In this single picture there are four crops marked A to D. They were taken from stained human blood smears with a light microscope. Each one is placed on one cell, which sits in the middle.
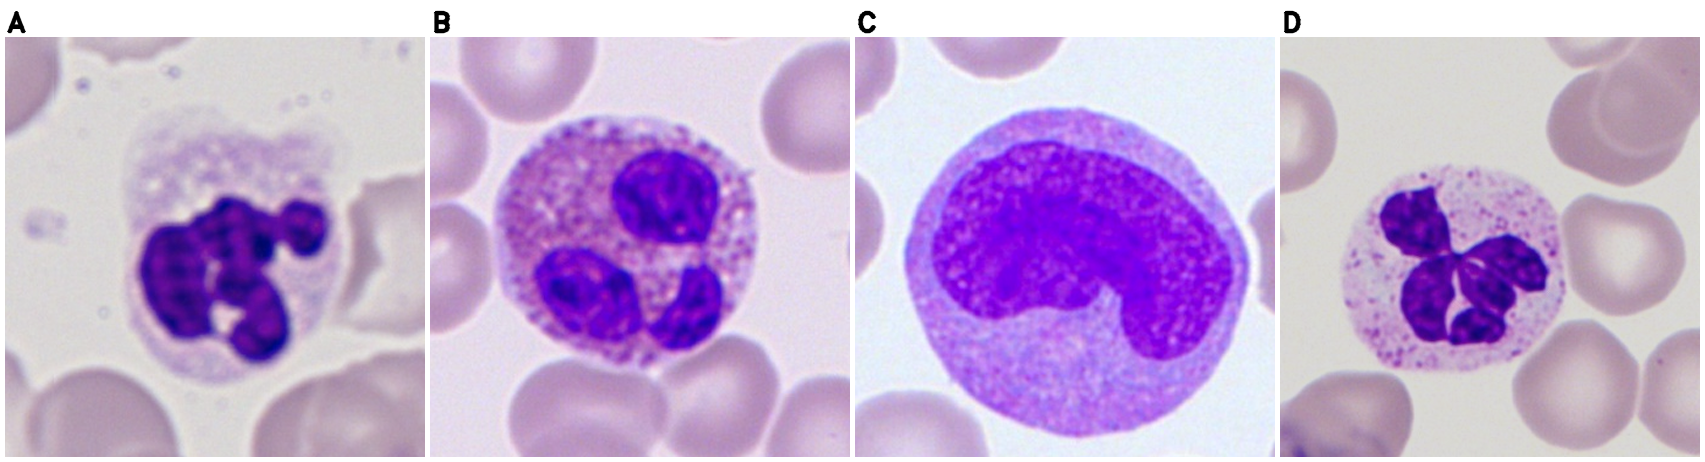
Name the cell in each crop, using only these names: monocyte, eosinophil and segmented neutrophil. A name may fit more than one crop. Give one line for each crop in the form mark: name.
A: segmented neutrophil
B: eosinophil
C: monocyte
D: segmented neutrophil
